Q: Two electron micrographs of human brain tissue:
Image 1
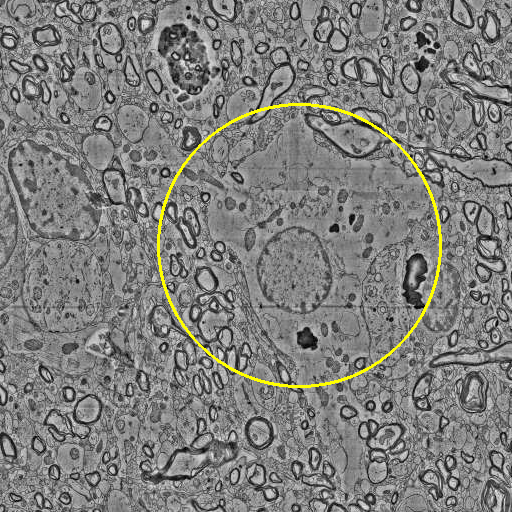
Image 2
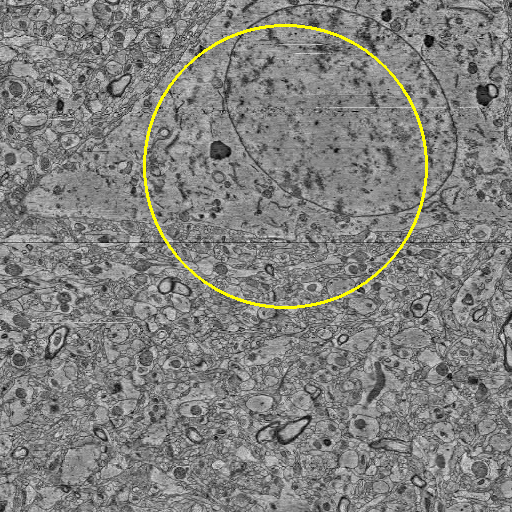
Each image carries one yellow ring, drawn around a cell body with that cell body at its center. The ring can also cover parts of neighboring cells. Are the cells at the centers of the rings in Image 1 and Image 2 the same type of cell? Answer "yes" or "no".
no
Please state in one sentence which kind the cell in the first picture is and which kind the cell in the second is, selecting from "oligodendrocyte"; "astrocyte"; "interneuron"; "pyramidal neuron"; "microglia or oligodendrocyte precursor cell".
The first ringed cell is an astrocyte, the second ringed cell a pyramidal neuron.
